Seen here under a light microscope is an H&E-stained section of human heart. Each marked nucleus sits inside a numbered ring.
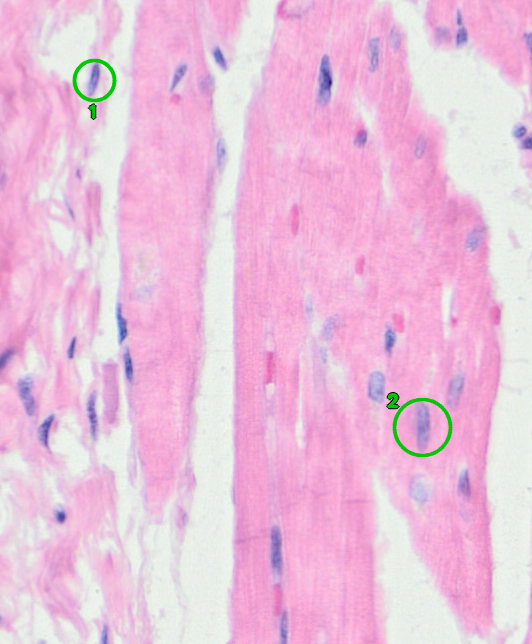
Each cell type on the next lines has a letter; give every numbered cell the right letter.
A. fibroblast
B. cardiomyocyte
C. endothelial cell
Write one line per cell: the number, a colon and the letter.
1: A
2: B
